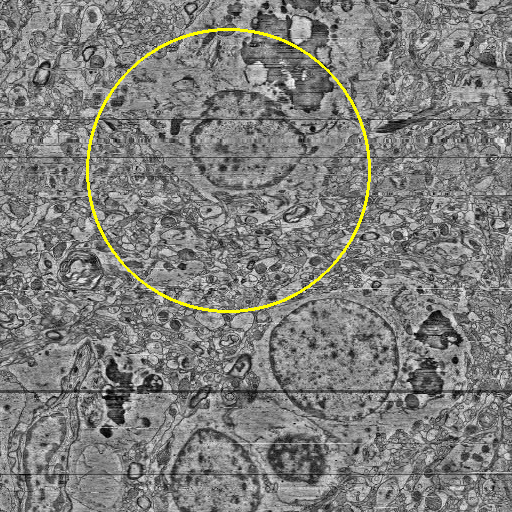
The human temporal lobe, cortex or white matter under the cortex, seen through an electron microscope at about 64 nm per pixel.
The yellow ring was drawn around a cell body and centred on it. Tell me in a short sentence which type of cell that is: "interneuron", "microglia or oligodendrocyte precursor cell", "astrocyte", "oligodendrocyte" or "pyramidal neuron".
The cell at the ring's centre is an astrocyte.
